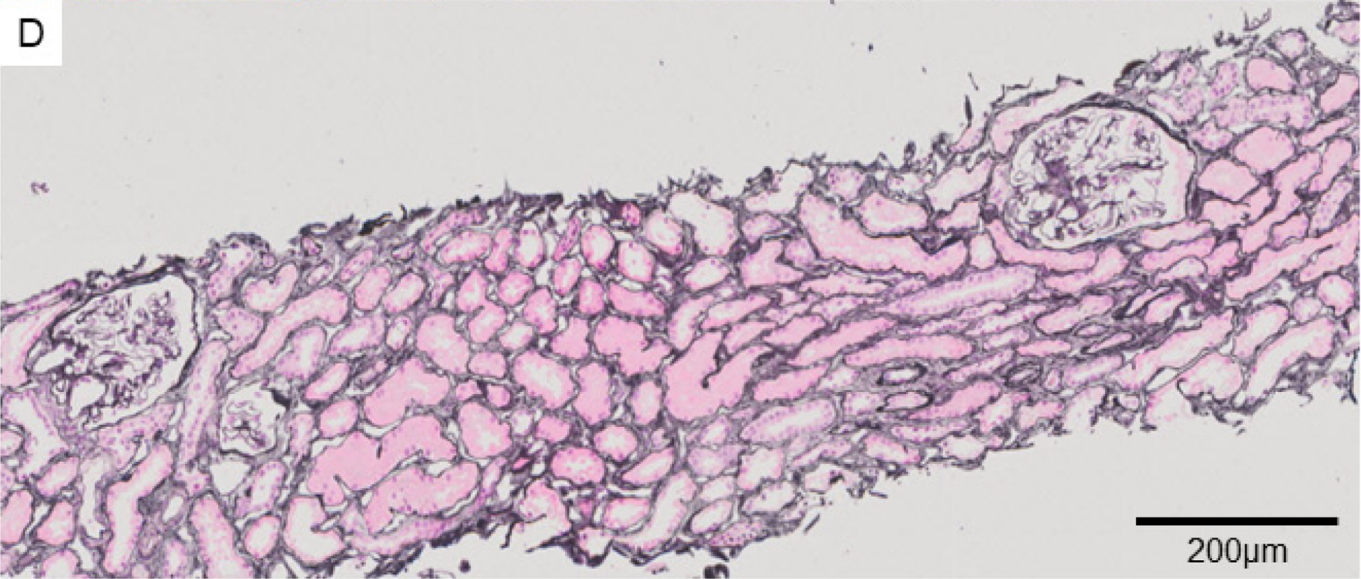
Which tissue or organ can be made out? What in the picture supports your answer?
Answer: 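The rest of the core is packed with tubules cut across and lengthwise. Thin black-stained basement membranes outline each tubule and the capillary loops.
Renal biopsy.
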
